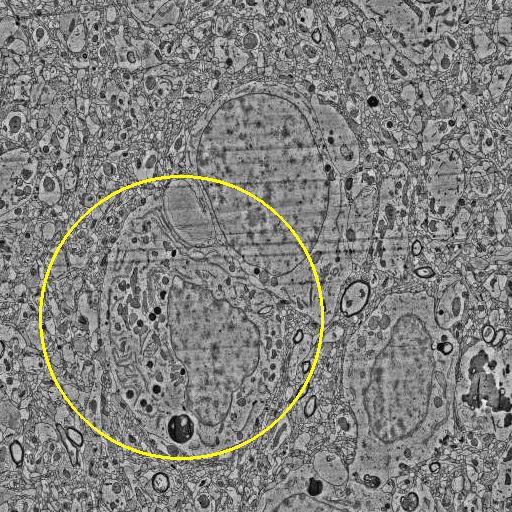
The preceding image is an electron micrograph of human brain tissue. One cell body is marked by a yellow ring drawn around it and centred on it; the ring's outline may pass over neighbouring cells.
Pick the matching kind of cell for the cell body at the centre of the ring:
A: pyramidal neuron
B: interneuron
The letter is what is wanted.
B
